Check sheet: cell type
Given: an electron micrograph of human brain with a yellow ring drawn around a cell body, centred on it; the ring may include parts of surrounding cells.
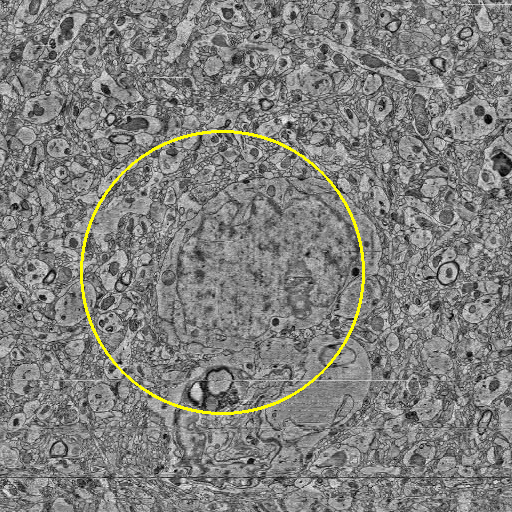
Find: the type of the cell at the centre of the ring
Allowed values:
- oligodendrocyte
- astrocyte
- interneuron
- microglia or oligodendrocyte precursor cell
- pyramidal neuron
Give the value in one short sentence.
Here the ringed cell is an interneuron.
